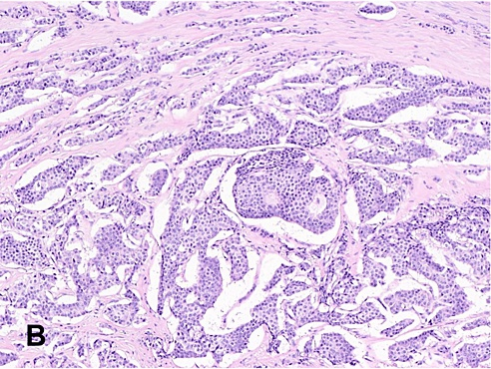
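Neoplastic cells are arranged in nests, cribriform and microglandular patterns within a pink fibrous stroma. Small, uniform cells with round dark nuclei crowd into solid groups of varying size and shape. Elsewhere small gland-like spaces and clear clefts lie among the cell groups. At the top, a band of denser pink collagenous tissue borders the tumor.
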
